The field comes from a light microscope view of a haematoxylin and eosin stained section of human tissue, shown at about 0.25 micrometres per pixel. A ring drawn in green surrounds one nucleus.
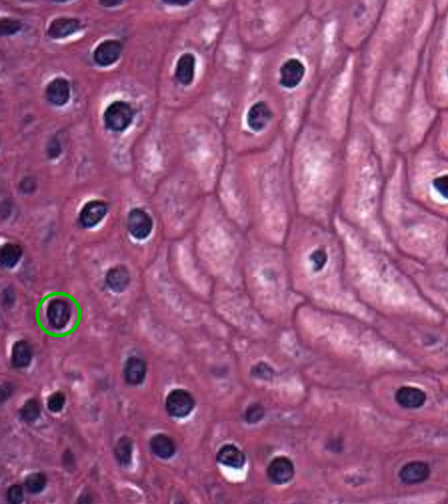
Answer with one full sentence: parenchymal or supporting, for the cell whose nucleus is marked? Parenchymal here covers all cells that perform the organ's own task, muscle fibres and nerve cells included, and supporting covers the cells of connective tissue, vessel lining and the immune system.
The marked nucleus is owned by a parenchymal cell, in this case a squamous epithelial cell.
